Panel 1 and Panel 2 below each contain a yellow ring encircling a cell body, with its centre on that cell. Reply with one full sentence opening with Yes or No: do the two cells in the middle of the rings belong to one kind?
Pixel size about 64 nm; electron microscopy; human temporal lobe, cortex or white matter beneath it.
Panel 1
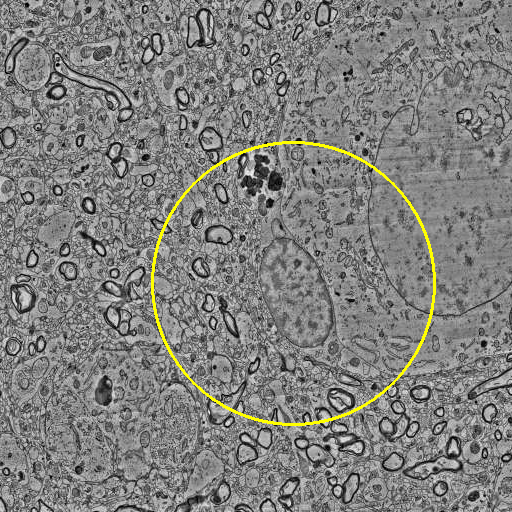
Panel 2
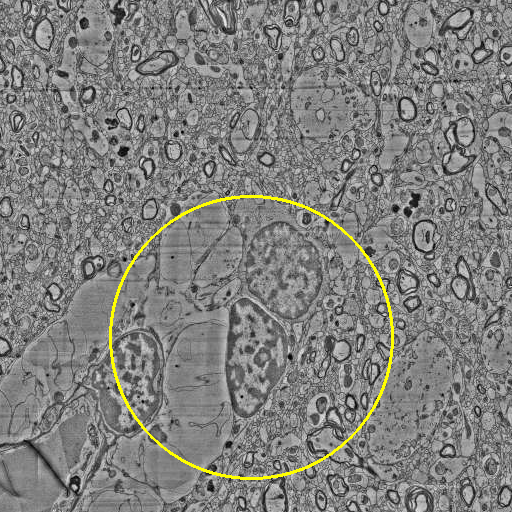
No, the cells at the middle of the Panel 1 ring and the Panel 2 ring are of two kinds.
